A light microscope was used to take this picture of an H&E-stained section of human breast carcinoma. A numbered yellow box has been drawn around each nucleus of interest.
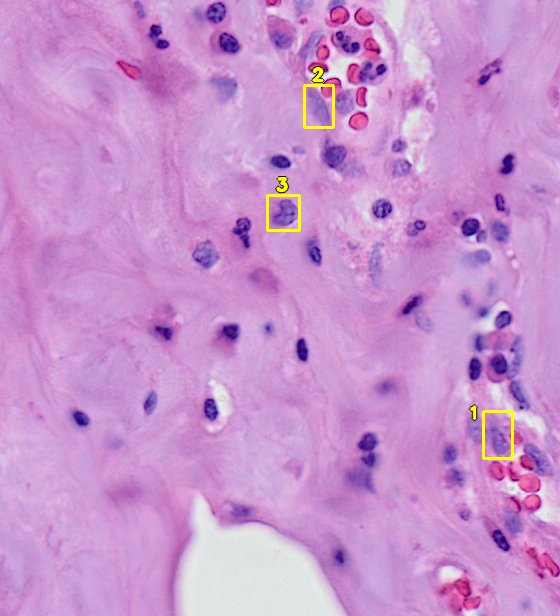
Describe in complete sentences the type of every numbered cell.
Cell 1 is an endothelial cell, cell 2 is an endothelial cell and cell 3 is a macrophage, monocyte or dendritic cell.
